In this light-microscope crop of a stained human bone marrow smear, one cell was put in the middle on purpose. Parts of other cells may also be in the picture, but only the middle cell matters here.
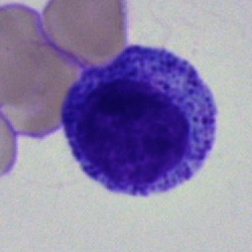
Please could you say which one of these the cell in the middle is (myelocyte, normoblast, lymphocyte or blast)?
myelocyte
